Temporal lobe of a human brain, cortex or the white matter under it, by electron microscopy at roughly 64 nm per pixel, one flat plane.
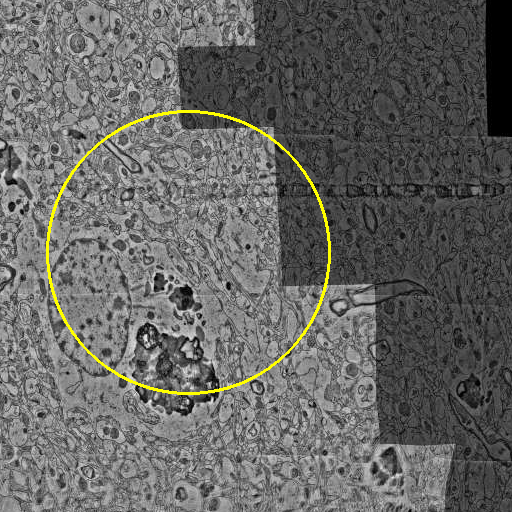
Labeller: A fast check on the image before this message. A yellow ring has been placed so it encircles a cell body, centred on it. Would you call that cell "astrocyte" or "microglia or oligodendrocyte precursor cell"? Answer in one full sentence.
In this image, an astrocyte is the cell on which the yellow ring is centred.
